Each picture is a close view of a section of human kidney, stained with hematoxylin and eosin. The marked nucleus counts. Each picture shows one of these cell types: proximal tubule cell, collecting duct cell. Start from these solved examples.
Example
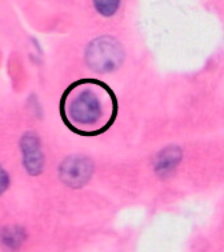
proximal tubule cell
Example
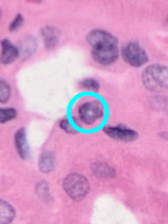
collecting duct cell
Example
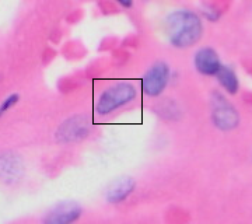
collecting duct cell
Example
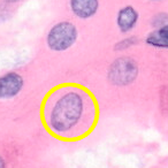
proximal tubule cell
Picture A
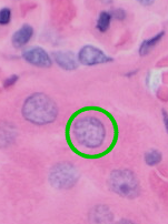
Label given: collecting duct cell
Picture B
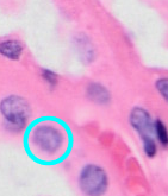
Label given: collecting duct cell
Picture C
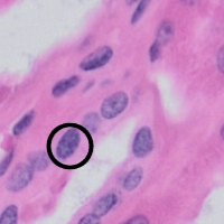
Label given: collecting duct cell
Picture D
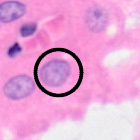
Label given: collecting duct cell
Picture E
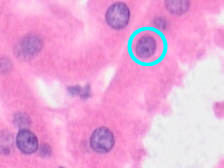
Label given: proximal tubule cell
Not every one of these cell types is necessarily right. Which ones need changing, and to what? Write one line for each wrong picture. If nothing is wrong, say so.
Wrong: A (collecting duct cell); correct: proximal tubule cell
Wrong: D (collecting duct cell); correct: proximal tubule cell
